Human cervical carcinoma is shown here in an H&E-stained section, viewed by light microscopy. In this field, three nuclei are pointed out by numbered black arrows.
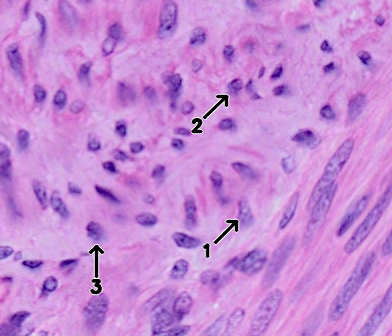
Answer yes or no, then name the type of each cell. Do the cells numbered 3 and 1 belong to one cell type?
No, the cell tagged 3 is a fibroblast, whereas the cell tagged 1 is a smooth muscle cell.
